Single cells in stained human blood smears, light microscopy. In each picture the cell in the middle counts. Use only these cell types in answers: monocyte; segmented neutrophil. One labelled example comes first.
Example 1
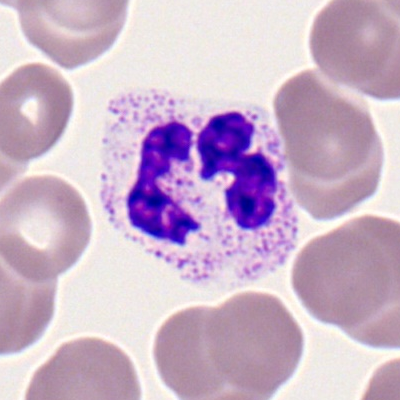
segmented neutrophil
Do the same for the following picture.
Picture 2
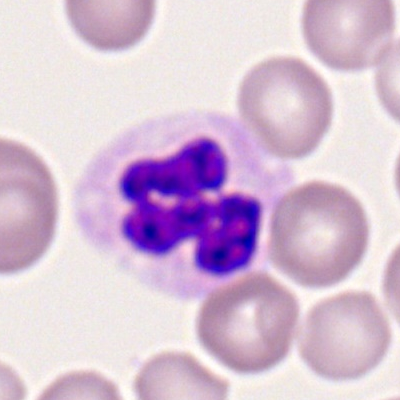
segmented neutrophil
